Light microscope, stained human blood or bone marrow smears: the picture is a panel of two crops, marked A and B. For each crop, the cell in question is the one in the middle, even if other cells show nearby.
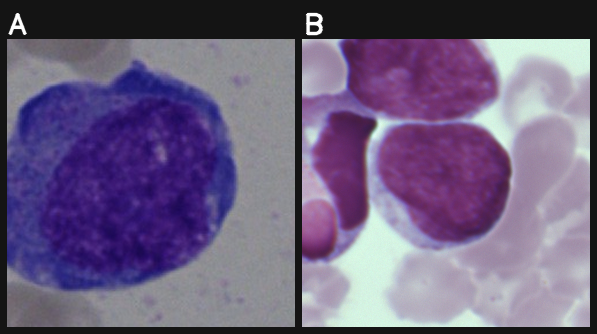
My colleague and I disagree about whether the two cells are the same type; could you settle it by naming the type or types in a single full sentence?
Yes, blasts are shown in both crops.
